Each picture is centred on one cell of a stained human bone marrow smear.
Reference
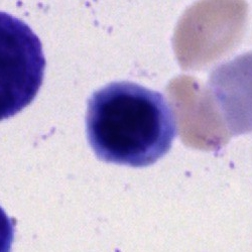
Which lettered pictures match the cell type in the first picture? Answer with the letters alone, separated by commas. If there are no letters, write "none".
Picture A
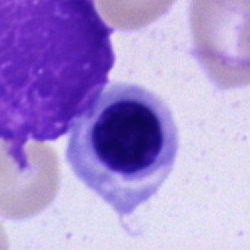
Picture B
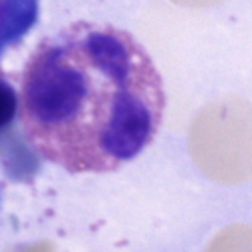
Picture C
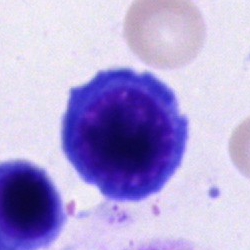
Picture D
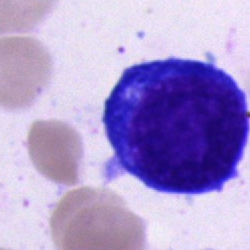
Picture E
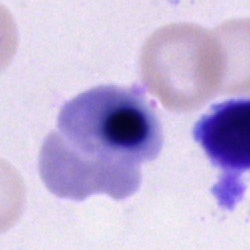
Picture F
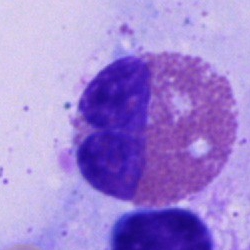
A, C, D, E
